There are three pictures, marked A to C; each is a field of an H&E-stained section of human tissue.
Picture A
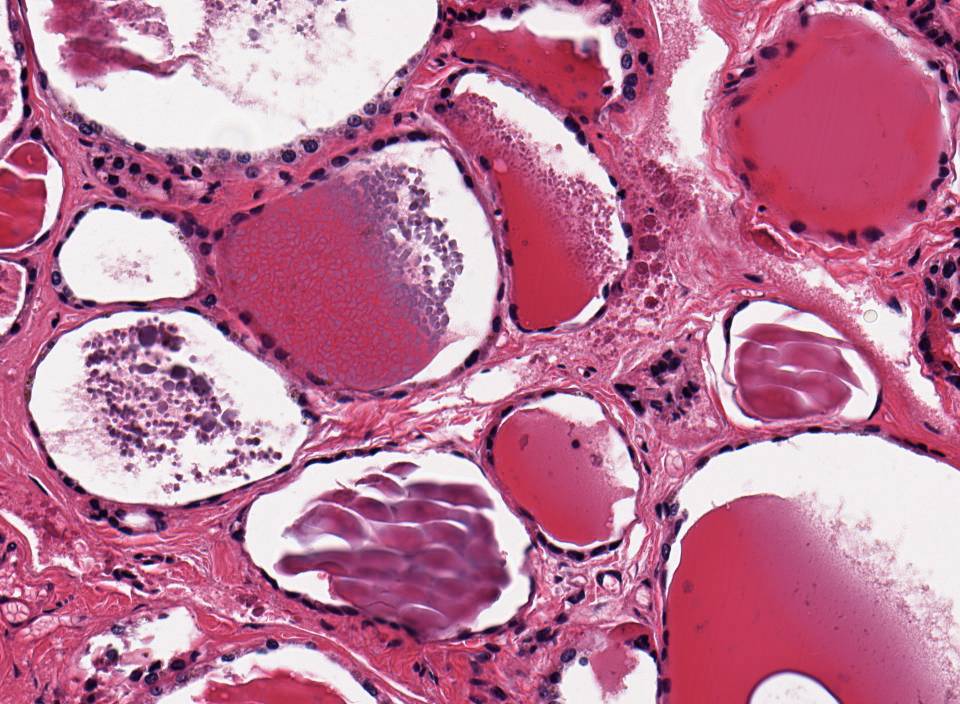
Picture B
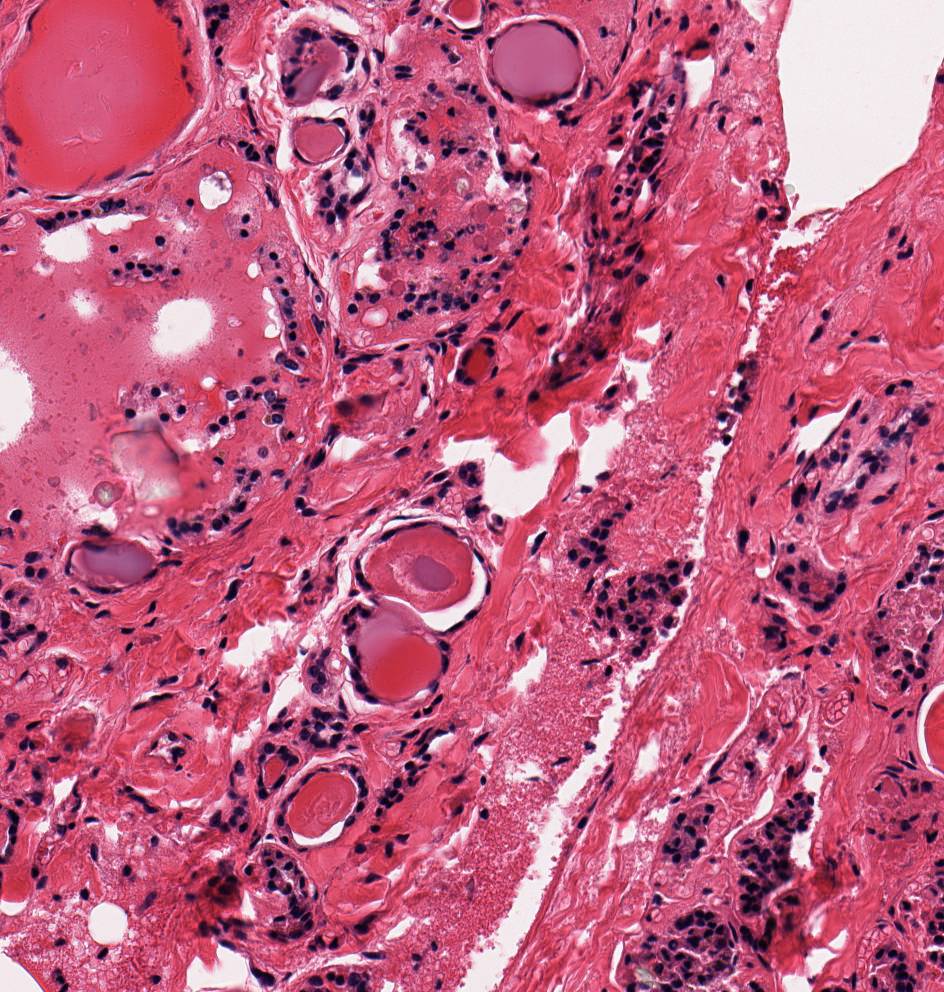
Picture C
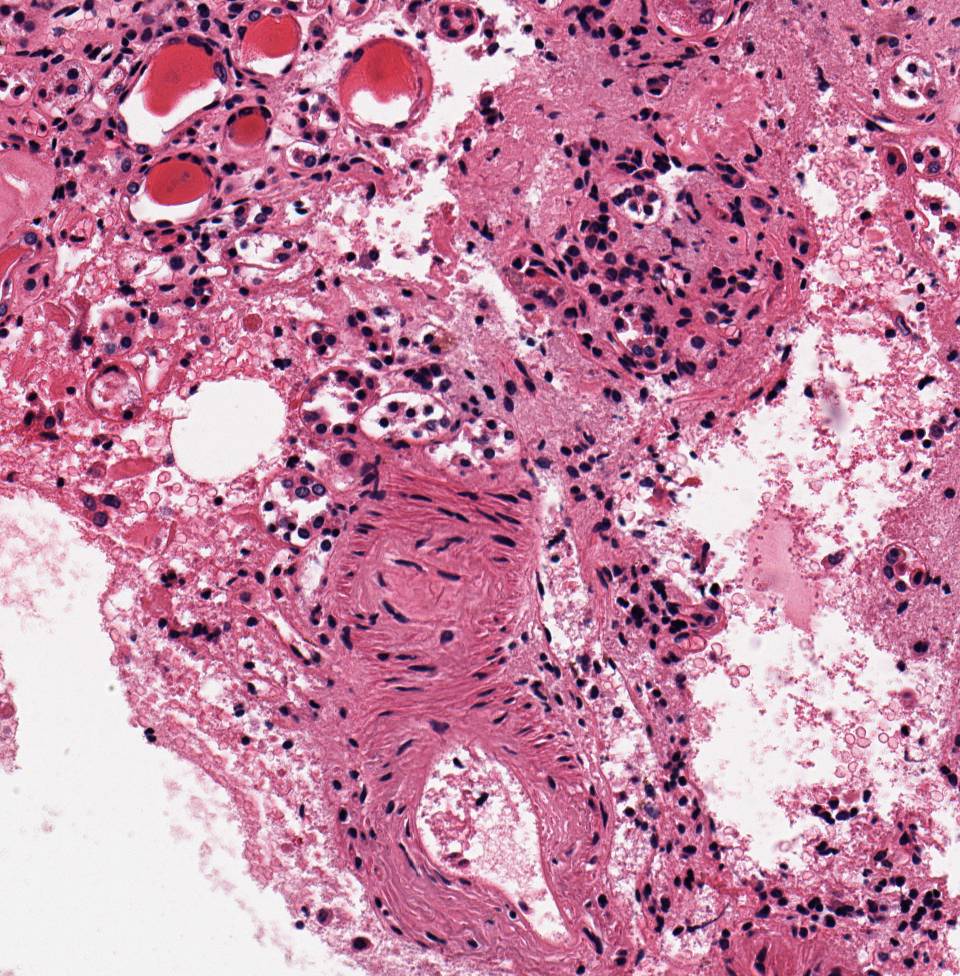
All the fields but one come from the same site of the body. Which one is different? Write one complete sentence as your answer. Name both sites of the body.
Picture C is the odd one out: it comes from the renal cortex, while the others come from the thyroid.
